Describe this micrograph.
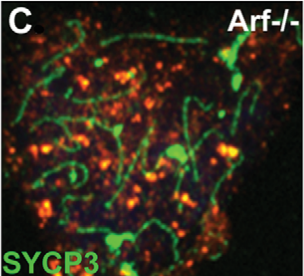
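This is a single spermatocyte nucleus spread flat on a slide, its chromosomes showing as long green threads curling across the field, many with a brighter knob at one end. Scattered all over the nucleus, among and upon the threads, are many bright red to orange dots.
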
